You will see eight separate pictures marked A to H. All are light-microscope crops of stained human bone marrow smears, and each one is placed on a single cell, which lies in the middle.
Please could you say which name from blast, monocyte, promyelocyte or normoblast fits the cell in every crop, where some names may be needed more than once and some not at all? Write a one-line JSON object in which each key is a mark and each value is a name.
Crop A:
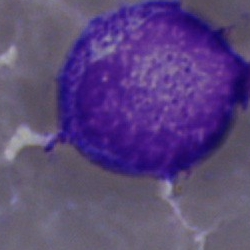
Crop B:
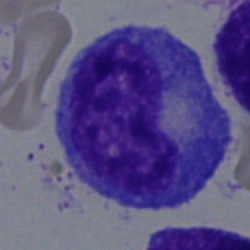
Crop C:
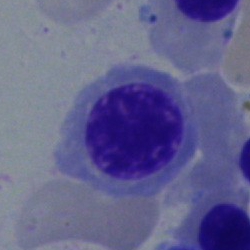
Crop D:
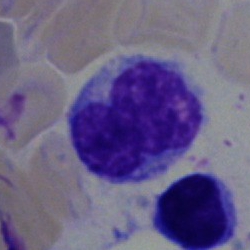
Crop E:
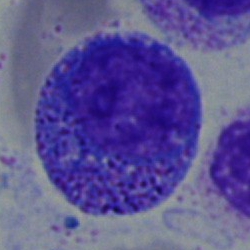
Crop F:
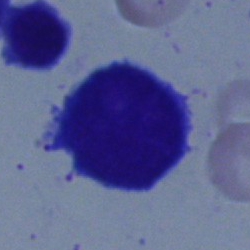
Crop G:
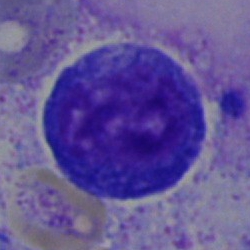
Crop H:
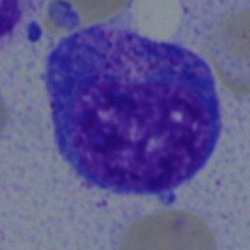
{"A": "promyelocyte", "B": "promyelocyte", "C": "normoblast", "D": "monocyte", "E": "promyelocyte", "F": "blast", "G": "promyelocyte", "H": "promyelocyte"}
